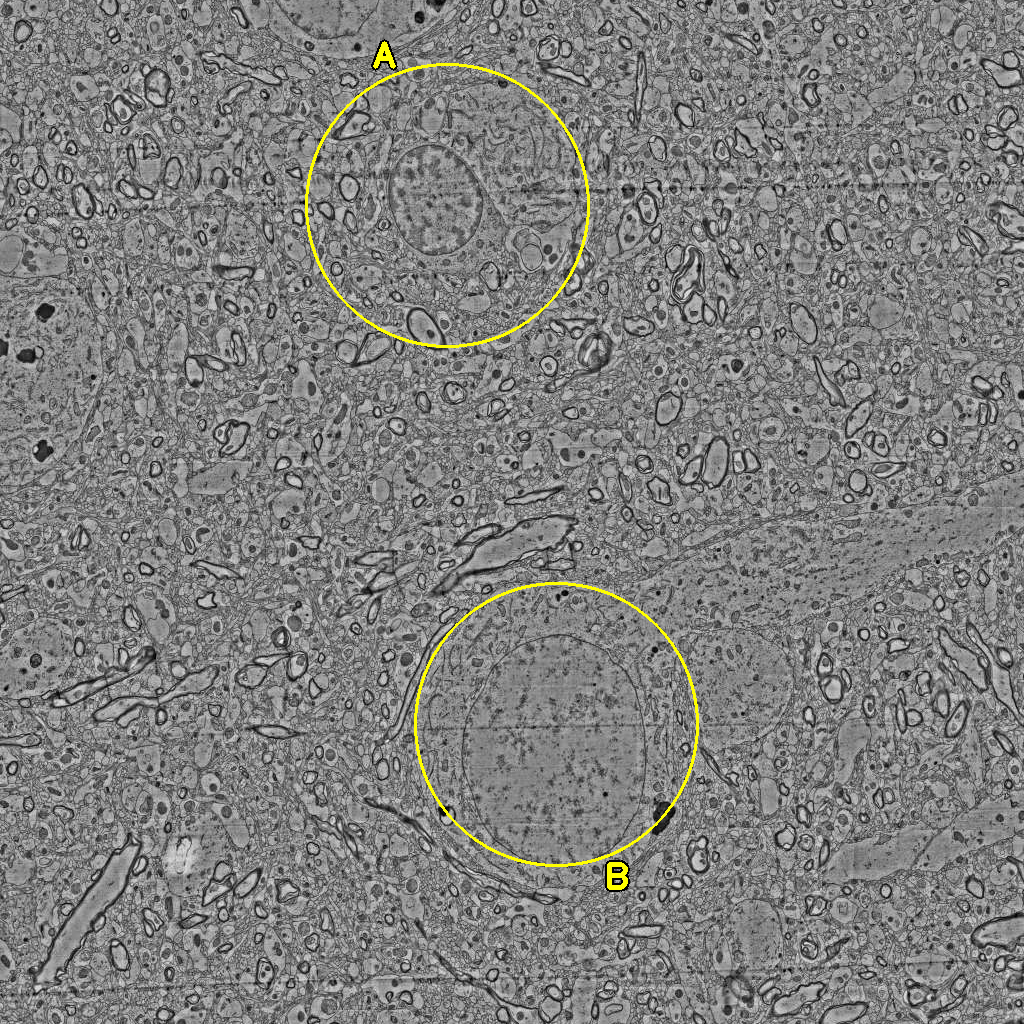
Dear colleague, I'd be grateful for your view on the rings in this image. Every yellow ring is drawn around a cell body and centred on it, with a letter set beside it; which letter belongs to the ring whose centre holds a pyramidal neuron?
B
